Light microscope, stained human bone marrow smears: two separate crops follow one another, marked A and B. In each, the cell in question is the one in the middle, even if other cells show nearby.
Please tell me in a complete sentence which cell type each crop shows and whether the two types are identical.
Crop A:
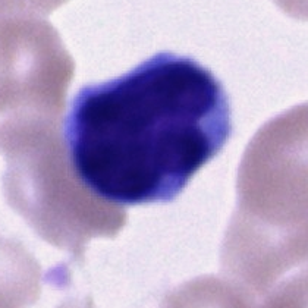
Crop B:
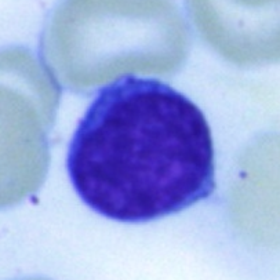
Yes, the cells placed at the centre of both crops are lymphocytes.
